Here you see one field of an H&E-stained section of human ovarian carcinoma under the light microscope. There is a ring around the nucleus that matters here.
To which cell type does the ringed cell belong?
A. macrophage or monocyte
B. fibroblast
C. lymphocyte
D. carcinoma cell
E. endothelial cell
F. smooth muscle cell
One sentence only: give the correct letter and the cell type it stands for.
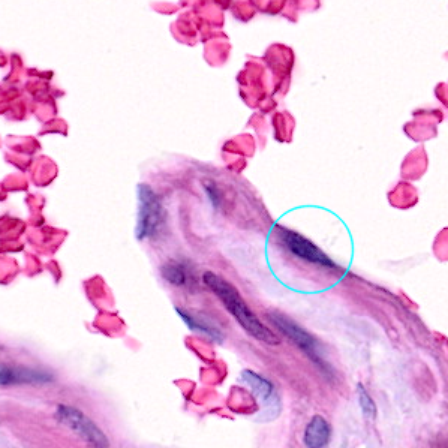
Option E is the right one; the ringed cell is an endothelial cell.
